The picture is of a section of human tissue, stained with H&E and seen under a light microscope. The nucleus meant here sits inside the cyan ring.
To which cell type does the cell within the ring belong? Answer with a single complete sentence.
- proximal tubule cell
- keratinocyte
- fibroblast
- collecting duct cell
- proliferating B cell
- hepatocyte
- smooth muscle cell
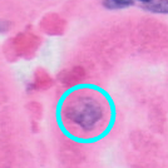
The category to which the cell within the ring belongs is that of a proximal tubule cell.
